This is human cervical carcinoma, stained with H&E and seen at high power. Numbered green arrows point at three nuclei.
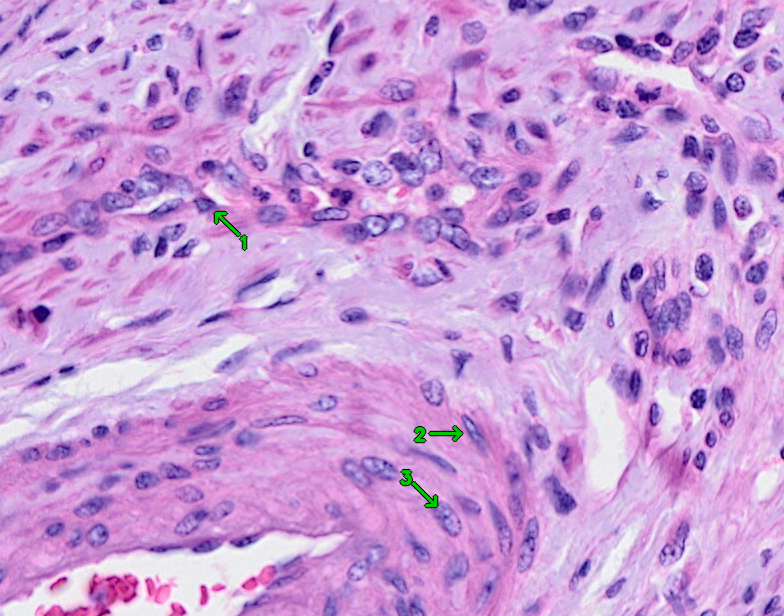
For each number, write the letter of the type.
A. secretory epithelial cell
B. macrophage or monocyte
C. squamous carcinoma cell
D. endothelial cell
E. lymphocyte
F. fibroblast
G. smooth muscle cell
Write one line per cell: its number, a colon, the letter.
1: D
2: G
3: G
